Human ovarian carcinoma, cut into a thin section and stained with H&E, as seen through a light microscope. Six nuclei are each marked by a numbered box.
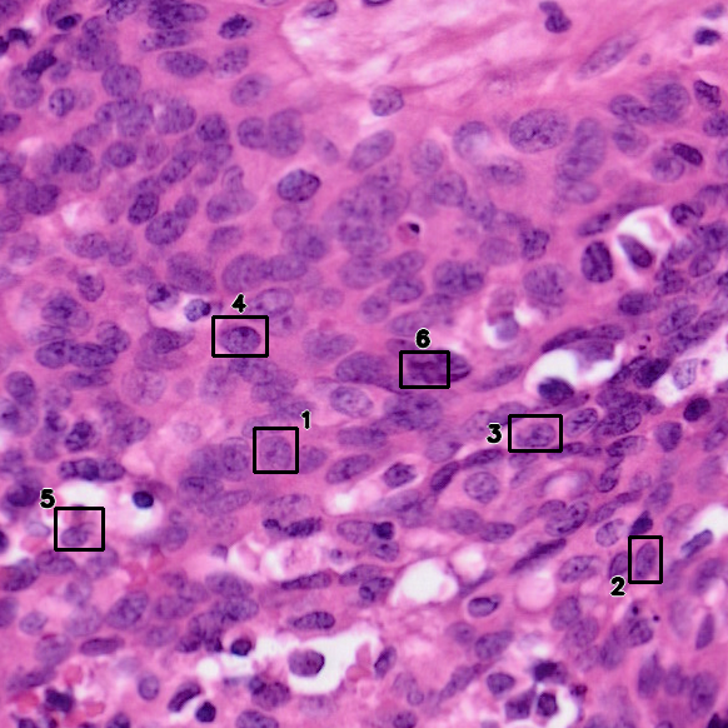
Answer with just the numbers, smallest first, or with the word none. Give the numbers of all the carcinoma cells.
1, 2, 4, 6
